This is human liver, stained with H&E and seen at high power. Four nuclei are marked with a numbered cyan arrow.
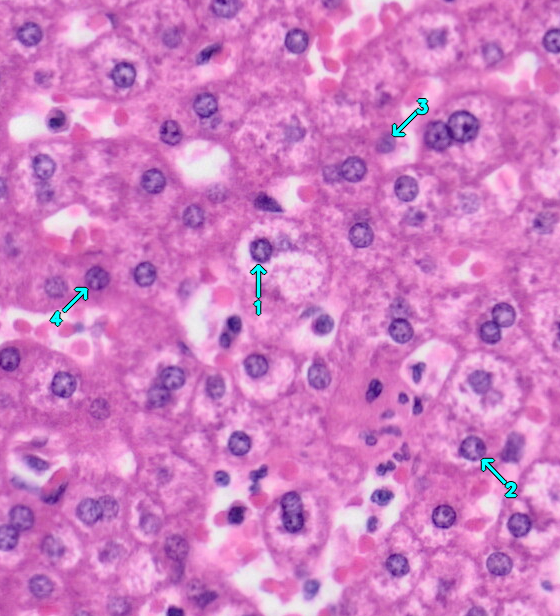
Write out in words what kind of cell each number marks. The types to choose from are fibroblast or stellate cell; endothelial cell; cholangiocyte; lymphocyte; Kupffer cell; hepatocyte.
Cells 1, 2 and 4 are hepatocytes. Cell 3 is a Kupffer cell.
